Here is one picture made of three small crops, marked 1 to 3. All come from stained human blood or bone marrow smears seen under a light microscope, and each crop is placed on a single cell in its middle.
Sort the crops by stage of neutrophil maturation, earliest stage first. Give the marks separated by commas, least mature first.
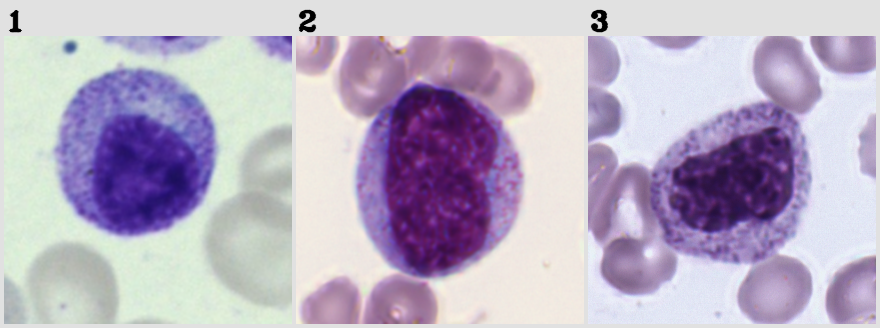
2, 1, 3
